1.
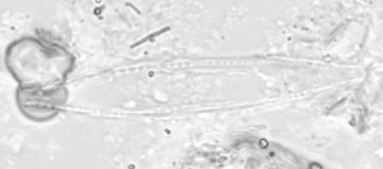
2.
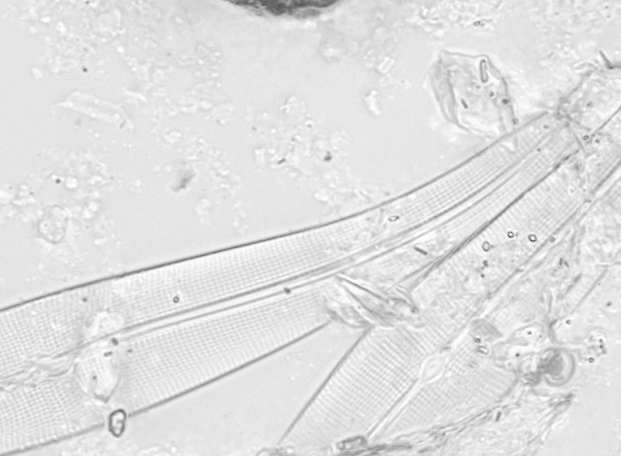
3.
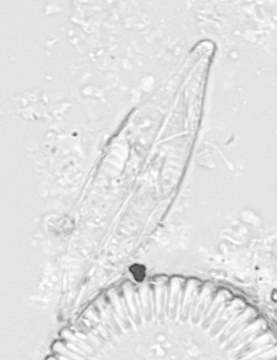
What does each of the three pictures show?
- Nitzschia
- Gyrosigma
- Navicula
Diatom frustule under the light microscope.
1. Nitzschia
2. Gyrosigma
3. Navicula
